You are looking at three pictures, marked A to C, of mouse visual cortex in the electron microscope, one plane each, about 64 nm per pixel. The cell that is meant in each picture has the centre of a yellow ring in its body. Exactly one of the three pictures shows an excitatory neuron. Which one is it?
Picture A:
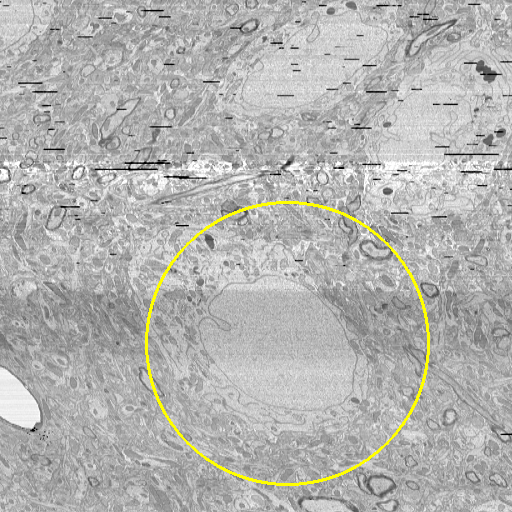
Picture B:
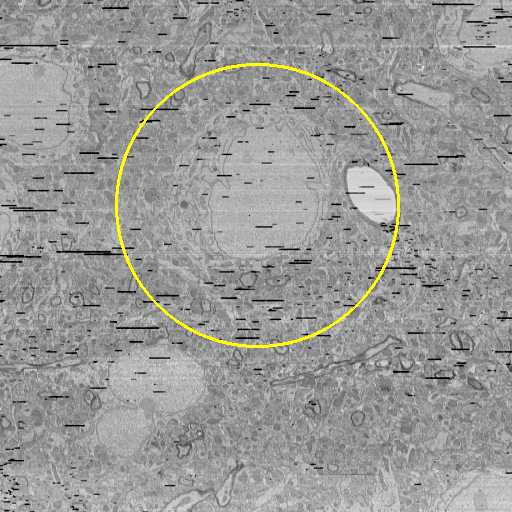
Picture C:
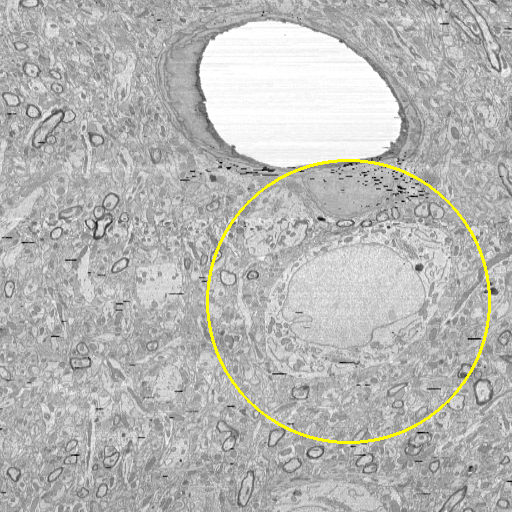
The picture with the excitatory neuron is A.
